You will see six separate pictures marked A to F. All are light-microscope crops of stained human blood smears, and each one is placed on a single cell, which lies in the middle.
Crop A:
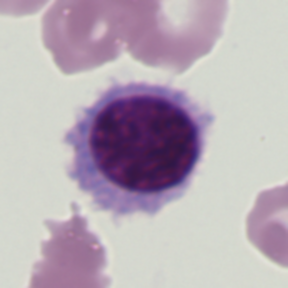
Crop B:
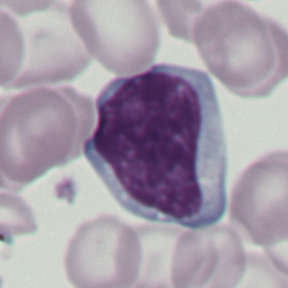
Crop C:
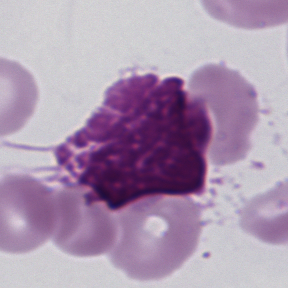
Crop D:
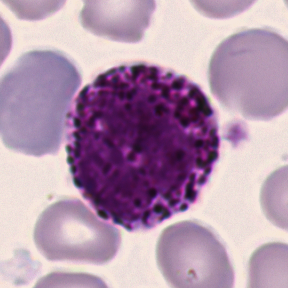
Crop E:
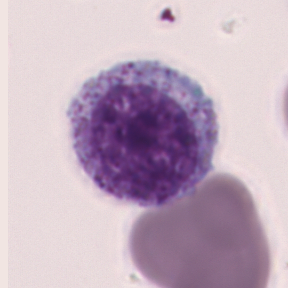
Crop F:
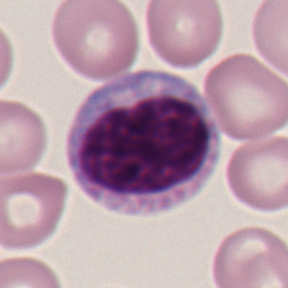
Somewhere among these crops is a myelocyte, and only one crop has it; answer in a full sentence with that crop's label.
It is crop E that shows a myelocyte.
